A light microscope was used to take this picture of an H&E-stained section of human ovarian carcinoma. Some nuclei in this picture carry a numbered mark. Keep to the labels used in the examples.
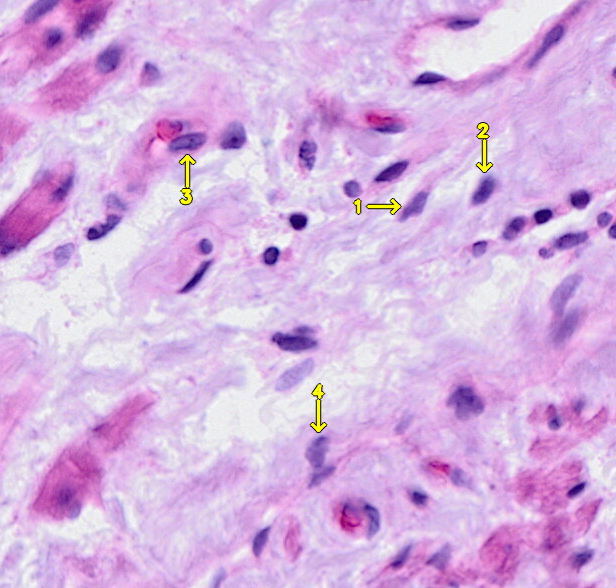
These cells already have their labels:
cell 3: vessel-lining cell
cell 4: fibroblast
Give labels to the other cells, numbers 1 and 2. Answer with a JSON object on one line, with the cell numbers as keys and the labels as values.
{"1": "fibroblast", "2": "fibroblast"}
